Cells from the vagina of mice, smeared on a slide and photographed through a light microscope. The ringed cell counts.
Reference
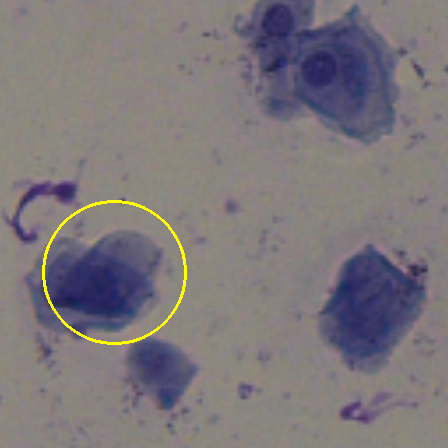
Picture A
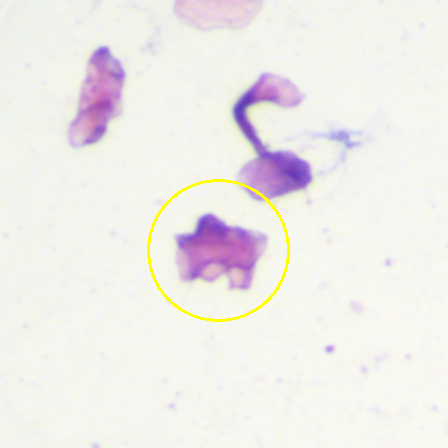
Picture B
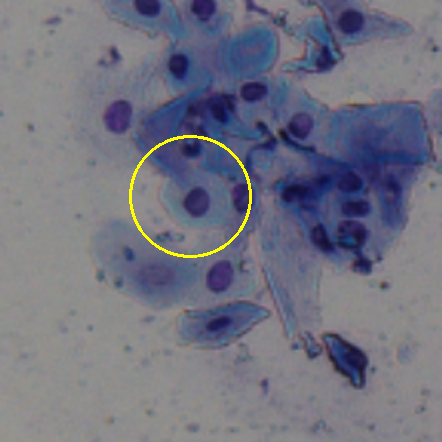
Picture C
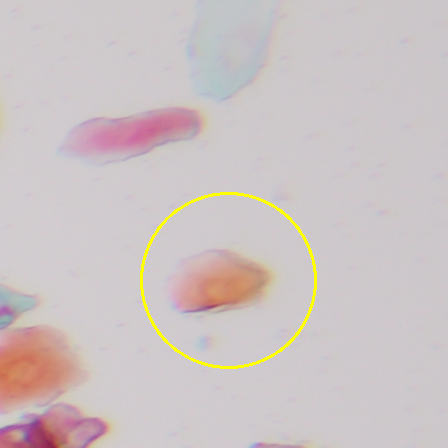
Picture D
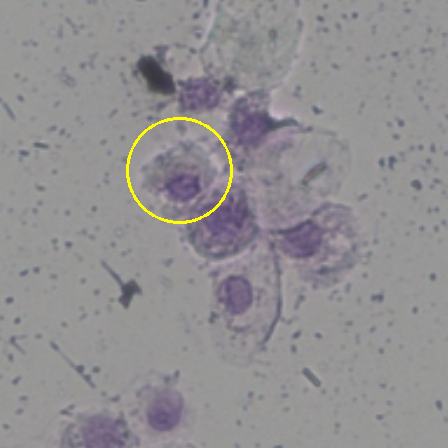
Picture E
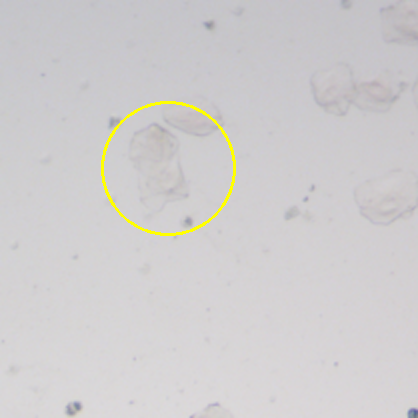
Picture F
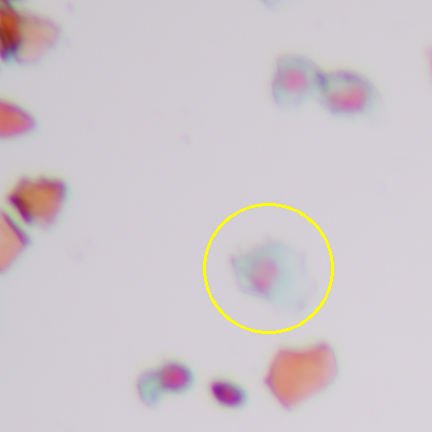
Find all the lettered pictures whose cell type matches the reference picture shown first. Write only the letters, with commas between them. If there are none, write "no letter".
A, C, E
